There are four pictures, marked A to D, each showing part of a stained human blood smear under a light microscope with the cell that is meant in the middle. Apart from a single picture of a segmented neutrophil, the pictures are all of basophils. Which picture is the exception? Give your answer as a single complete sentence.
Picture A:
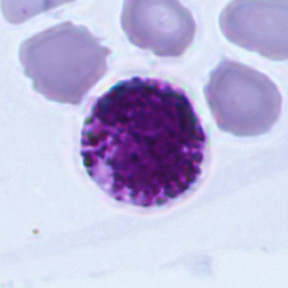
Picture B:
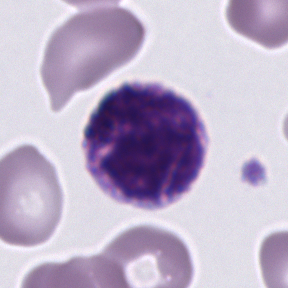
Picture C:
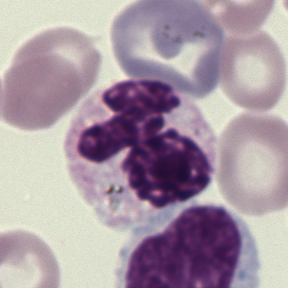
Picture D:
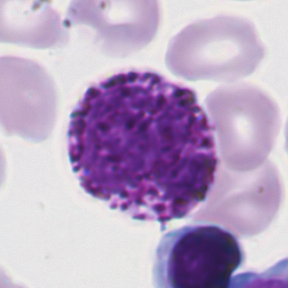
Picture C is the one that shows the segmented neutrophil.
